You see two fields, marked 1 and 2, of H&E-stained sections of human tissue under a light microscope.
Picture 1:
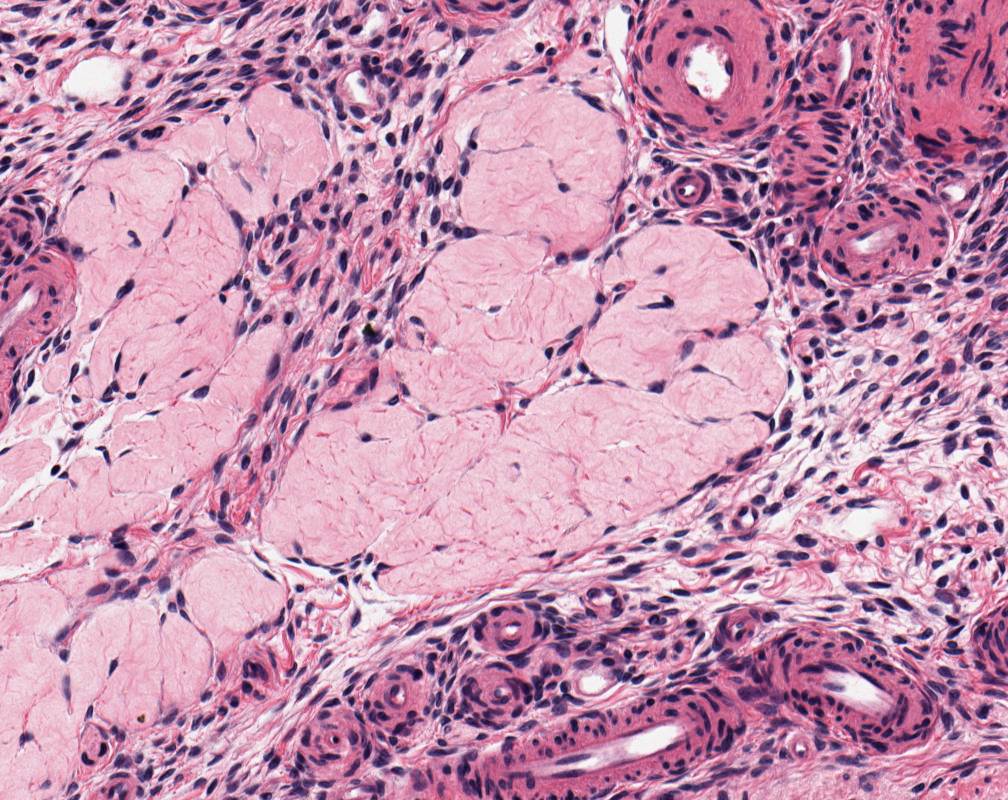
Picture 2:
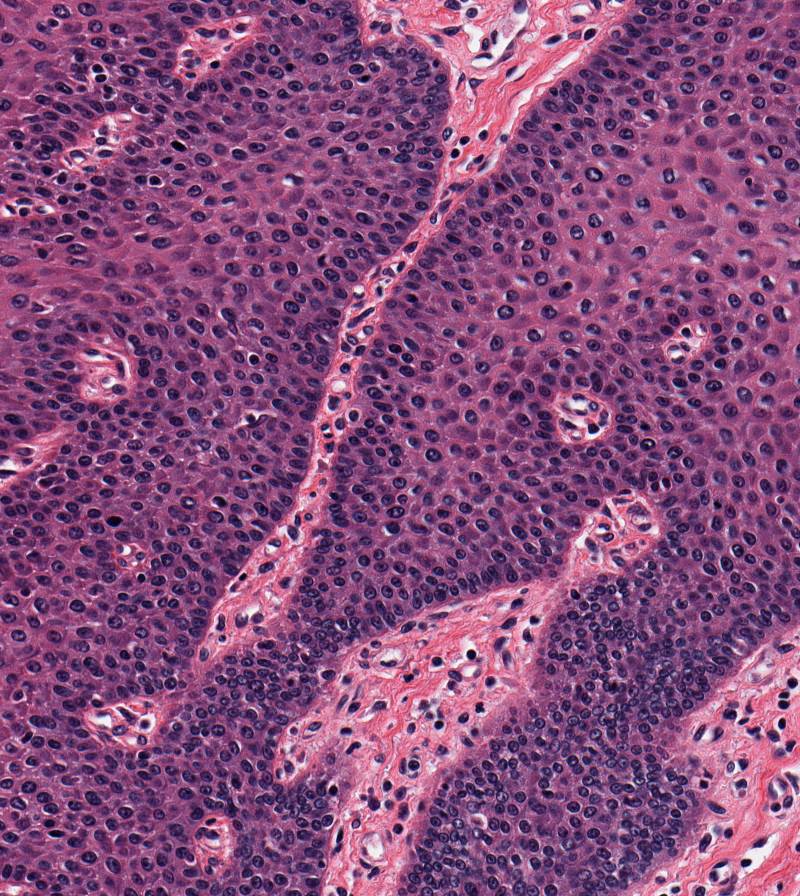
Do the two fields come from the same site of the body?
no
